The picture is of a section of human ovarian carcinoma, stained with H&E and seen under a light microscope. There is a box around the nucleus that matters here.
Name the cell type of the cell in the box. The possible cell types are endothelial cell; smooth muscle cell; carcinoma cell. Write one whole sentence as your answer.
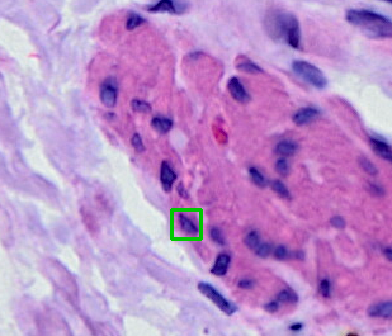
Placed in its cell category, the cell in the box is a smooth muscle cell.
